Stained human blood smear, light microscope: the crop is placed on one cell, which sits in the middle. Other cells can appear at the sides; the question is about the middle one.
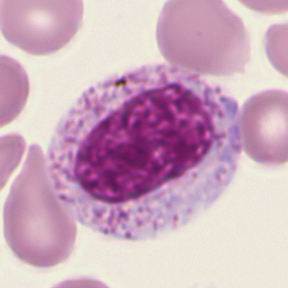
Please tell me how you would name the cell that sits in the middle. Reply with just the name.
myelocyte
